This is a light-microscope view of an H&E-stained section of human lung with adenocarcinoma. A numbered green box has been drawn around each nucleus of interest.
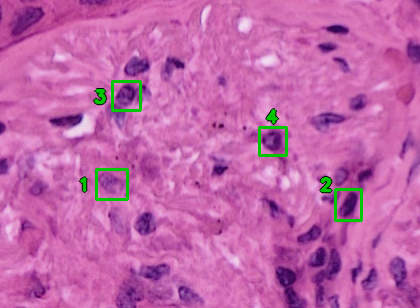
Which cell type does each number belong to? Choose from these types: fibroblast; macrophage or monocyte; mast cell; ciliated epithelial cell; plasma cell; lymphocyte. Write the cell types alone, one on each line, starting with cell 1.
macrophage or monocyte
plasma cell
plasma cell
plasma cell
